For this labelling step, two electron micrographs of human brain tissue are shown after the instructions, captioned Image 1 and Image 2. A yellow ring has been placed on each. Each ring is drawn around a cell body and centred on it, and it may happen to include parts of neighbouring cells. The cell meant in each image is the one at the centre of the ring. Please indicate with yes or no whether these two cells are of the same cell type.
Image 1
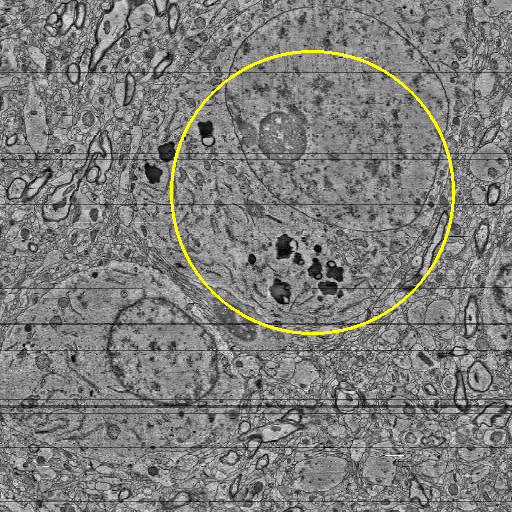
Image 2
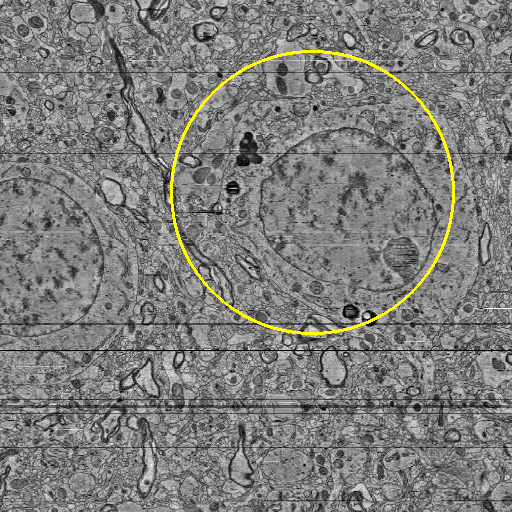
yes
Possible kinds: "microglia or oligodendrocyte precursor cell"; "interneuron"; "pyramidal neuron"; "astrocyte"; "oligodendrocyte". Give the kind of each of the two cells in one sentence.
In both pictures the ring is centred on a pyramidal neuron.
